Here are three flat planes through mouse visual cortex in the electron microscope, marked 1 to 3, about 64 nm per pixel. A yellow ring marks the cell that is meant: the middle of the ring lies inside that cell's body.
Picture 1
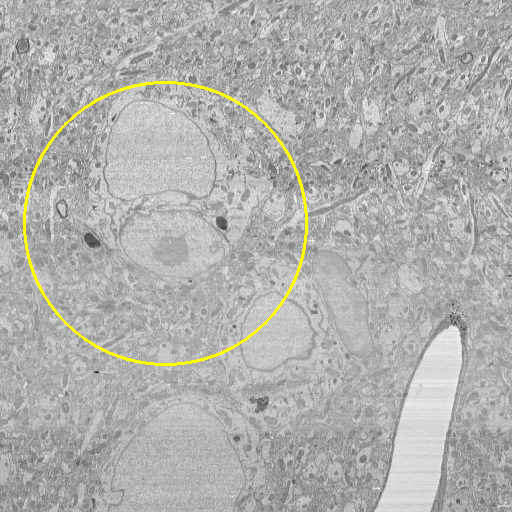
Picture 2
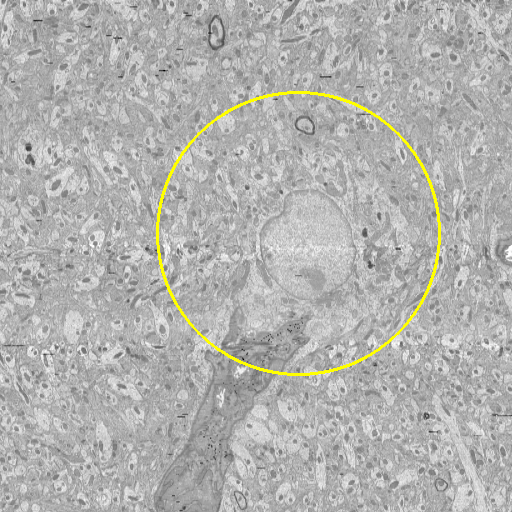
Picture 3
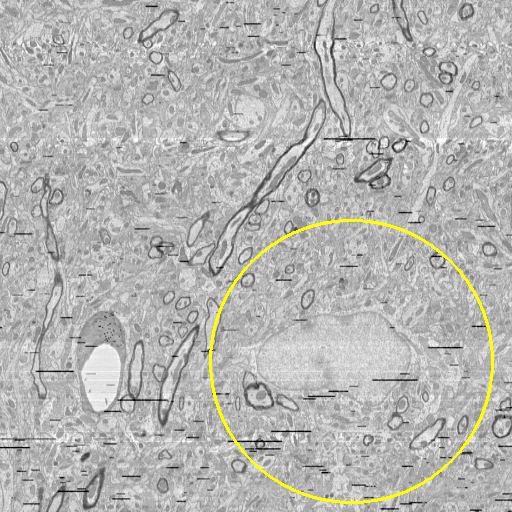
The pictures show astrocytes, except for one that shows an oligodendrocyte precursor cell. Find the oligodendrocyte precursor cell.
Picture 1 shows the oligodendrocyte precursor cell.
